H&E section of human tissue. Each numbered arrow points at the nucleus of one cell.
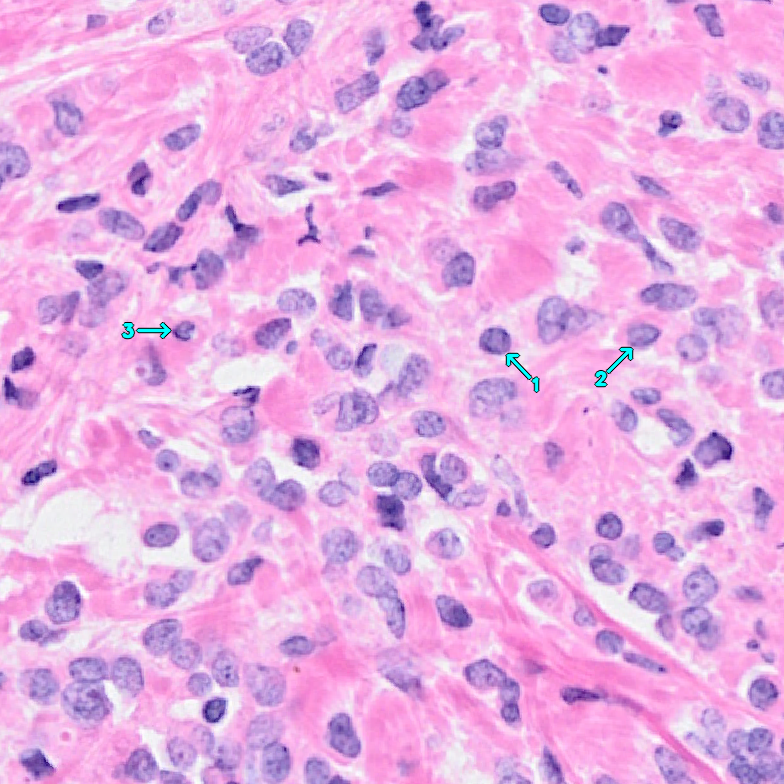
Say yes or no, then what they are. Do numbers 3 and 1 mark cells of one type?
No, the cell tagged 3 is an endothelial cell, whereas the cell tagged 1 is a carcinoma cell.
